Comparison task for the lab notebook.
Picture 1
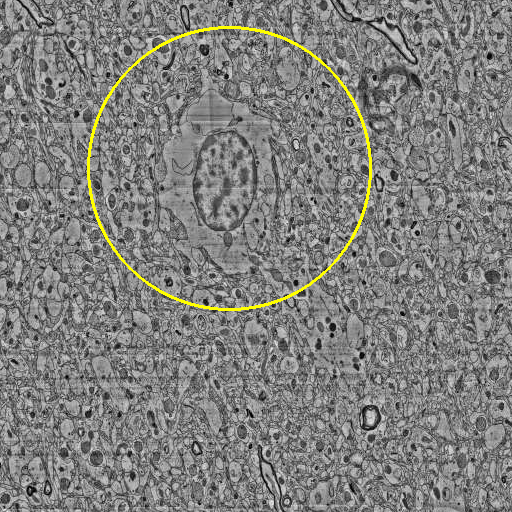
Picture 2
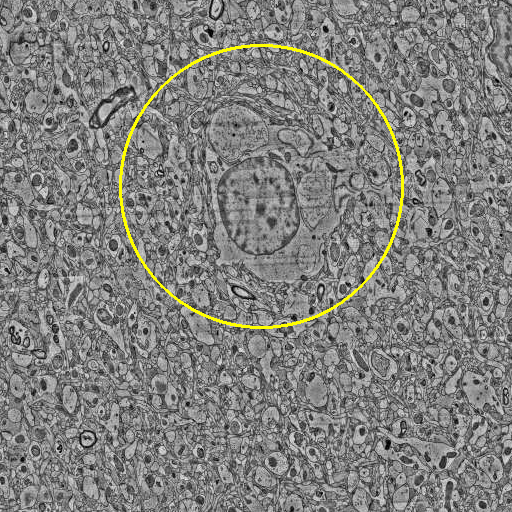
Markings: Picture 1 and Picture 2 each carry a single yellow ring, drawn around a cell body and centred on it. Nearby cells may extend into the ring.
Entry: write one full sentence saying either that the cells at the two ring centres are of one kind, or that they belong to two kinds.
The cells sitting at the ring centres in Picture 1 and Picture 2 are of one kind.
